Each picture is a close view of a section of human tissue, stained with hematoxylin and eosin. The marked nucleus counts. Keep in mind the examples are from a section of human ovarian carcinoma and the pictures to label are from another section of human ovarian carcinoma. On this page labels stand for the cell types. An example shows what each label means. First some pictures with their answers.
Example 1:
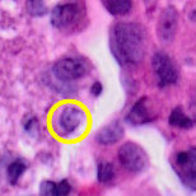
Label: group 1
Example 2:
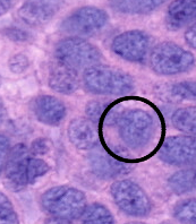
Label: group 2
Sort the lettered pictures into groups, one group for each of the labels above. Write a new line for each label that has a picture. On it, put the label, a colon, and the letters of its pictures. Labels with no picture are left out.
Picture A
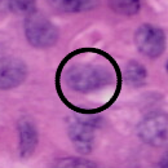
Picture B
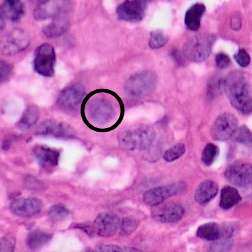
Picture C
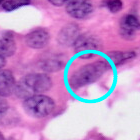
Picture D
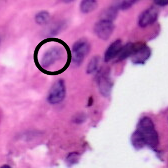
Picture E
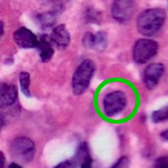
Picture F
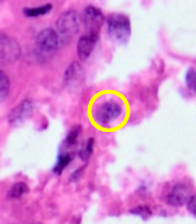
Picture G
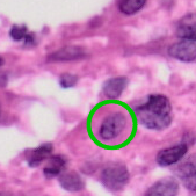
group 1: D, E, F, G
group 2: A, B, C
